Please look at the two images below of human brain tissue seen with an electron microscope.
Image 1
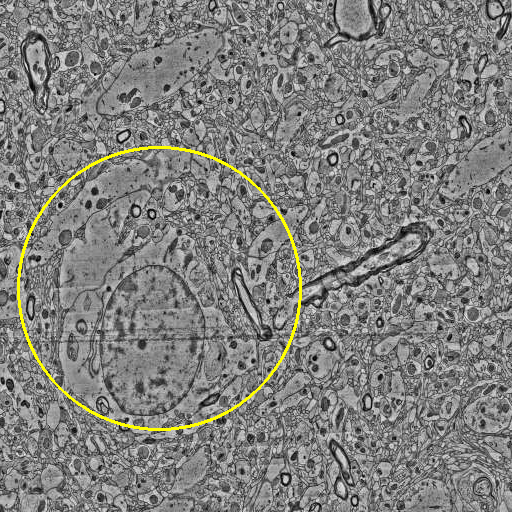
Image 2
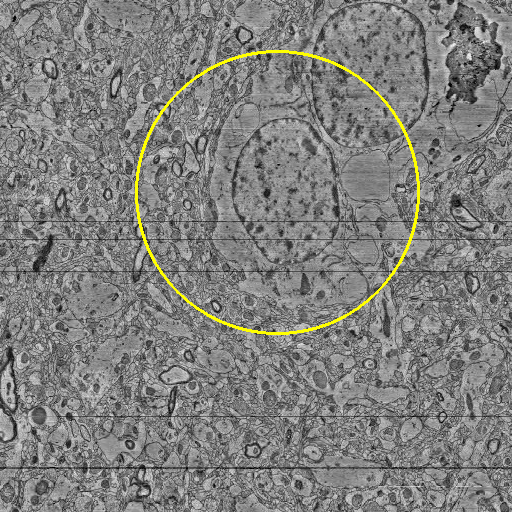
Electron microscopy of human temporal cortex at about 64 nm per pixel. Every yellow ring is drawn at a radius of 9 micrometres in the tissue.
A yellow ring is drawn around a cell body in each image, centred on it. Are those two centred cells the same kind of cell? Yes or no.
yes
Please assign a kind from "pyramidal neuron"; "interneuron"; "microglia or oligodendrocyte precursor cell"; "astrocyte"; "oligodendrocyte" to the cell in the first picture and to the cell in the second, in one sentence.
Each of the ringed cells, first and second, is an astrocyte.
